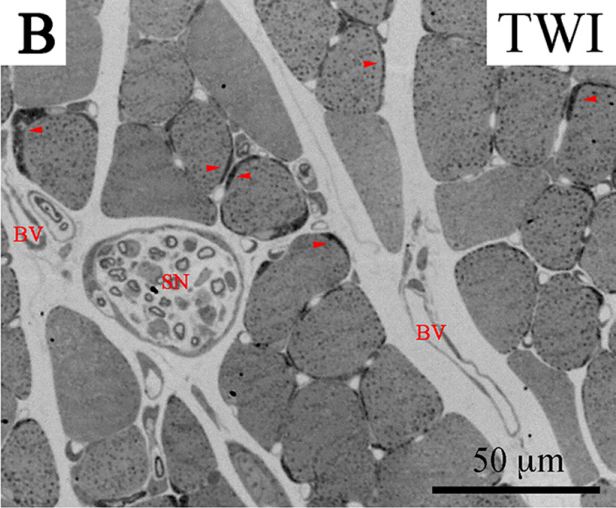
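A cross-section of skeletal muscle shows many rounded to polygonal myofibers that are relatively small and vary in size, set in wide, pale grey spaces of connective tissue. The fiber cytoplasm is grey and speckled with numerous small dark dots. Several fibers show a dark, dense band along part of their edge, indicated by small red arrowheads.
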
